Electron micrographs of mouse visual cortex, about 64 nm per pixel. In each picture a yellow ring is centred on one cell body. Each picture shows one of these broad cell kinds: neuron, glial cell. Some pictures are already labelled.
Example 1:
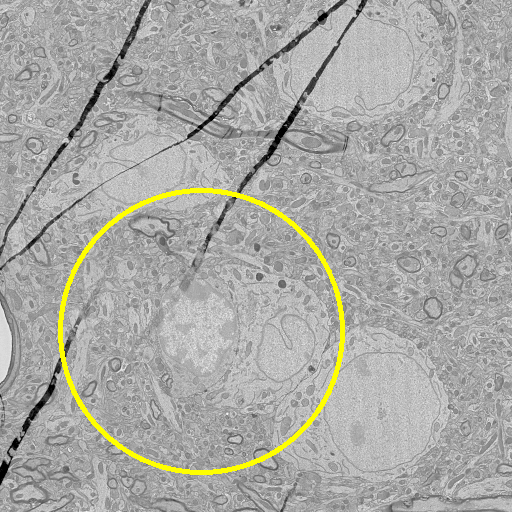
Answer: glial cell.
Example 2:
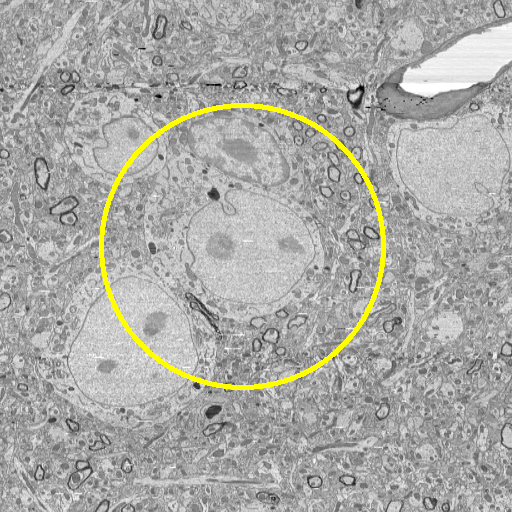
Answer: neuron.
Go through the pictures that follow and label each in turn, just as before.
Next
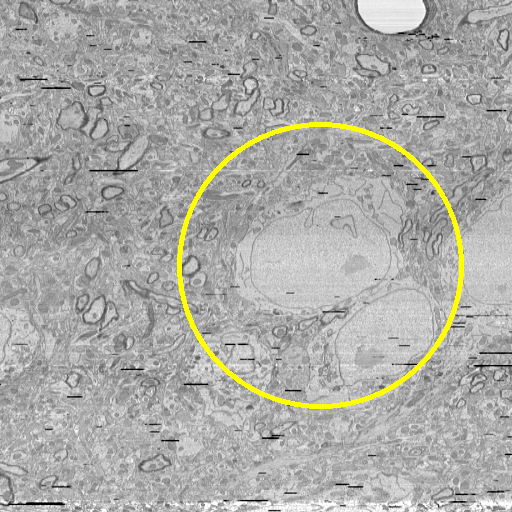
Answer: neuron.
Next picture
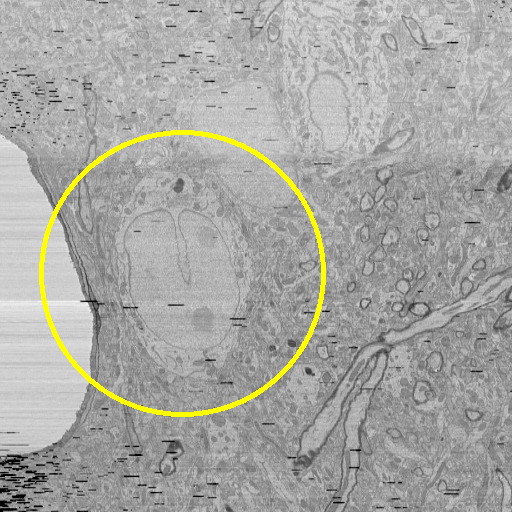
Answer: neuron.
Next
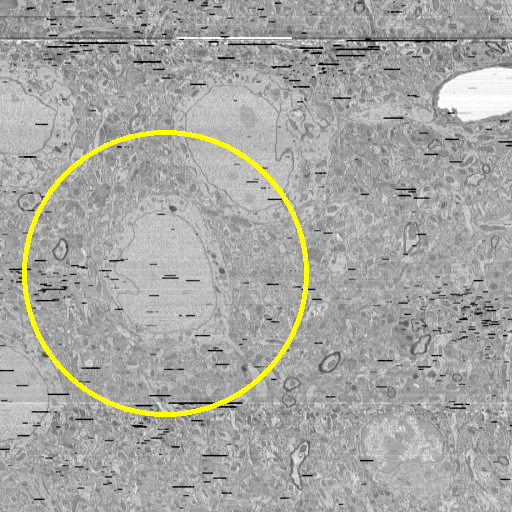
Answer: neuron.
